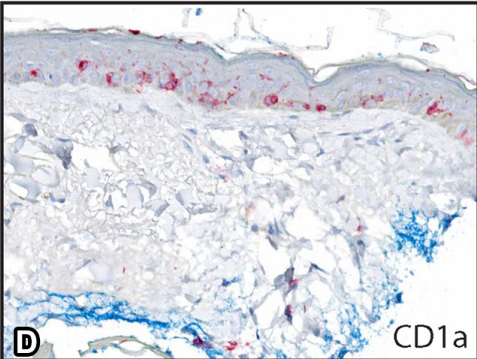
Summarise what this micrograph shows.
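The surrounding keratinocytes are pale gray-blue with faint nuclei, and the surface shows flaking layers of keratin. The dermis below is loose and pale with few cells, a couple of red cells, and a blue inked margin at the deep edge.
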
